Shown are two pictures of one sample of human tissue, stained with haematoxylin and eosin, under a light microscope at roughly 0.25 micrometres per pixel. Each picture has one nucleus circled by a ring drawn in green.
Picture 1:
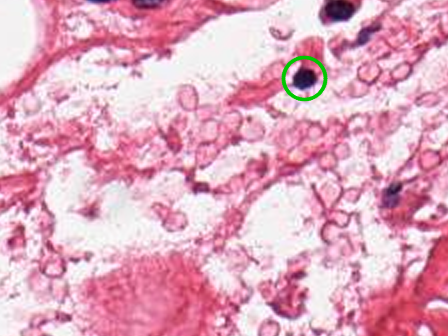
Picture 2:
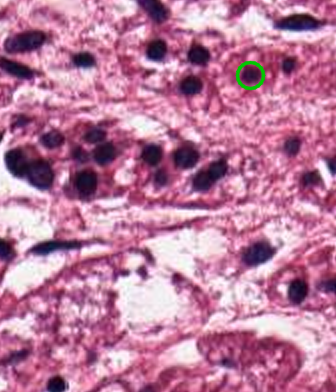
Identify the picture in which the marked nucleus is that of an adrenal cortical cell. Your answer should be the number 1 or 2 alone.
2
